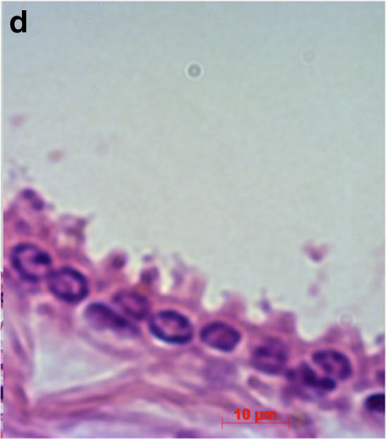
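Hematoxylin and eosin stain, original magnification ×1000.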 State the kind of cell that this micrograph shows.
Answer: Cuboidal to low columnar epithelial.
